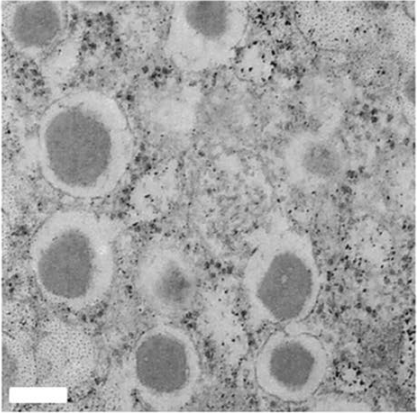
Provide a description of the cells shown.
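This electron micrograph shows the cytoplasm of a pancreatic beta-cell crowded with secretory granules. Around each core lies a clear pale halo, bounded by a thin outer membrane. Some granules, cut at their edge, appear as paler grey discs. Between the granules, the cytoplasm is speckled with many small dark particles.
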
